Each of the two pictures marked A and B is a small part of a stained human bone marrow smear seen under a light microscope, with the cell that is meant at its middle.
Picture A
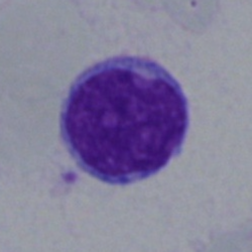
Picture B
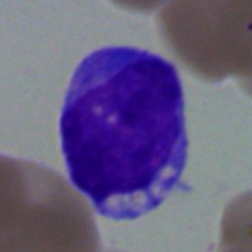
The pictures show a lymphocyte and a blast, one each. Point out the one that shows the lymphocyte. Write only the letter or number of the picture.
A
